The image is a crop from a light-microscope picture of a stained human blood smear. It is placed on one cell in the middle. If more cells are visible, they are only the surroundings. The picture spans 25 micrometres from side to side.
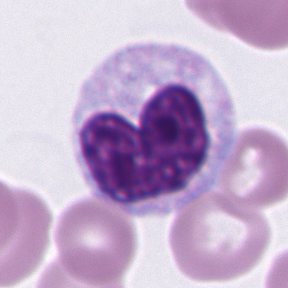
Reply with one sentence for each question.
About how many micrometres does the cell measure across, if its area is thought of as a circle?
It measures about 15 micrometres across.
